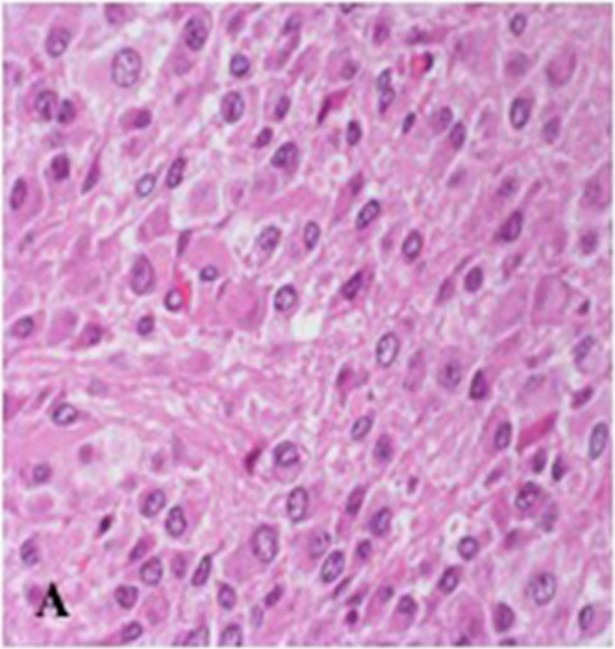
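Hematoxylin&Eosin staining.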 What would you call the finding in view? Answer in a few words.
Ganglioid differentiation.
